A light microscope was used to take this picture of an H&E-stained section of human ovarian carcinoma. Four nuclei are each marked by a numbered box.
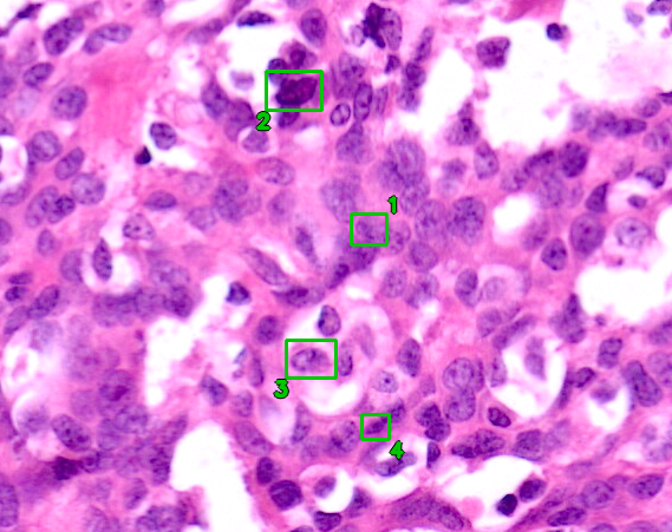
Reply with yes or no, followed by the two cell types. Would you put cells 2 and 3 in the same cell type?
No, cell 2 is a carcinoma cell and cell 3 is a macrophage or monocyte.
